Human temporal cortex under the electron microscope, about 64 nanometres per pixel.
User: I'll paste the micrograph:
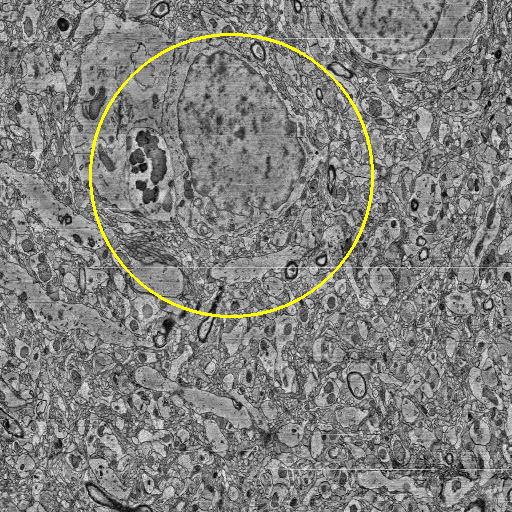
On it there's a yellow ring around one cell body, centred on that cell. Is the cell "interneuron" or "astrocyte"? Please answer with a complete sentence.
The cell ringed in yellow is an interneuron.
